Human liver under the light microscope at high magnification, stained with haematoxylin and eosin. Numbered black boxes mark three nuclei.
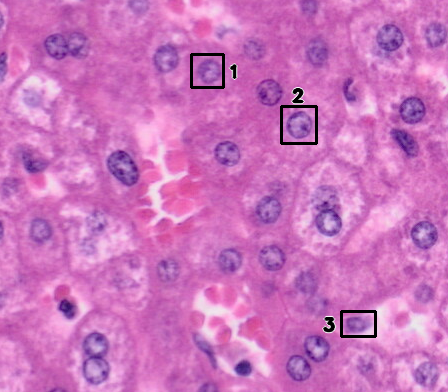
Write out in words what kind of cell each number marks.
Cell 1 is a hepatocyte, cell 2 is a hepatocyte and cell 3 is a Kupffer cell.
